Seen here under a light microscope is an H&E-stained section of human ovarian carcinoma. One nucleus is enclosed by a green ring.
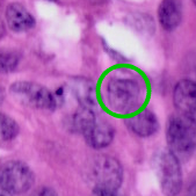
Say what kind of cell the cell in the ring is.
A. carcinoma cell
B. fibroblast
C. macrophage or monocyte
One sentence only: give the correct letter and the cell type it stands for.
In this item, the cell in the ring is a carcinoma cell, and option A is right.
